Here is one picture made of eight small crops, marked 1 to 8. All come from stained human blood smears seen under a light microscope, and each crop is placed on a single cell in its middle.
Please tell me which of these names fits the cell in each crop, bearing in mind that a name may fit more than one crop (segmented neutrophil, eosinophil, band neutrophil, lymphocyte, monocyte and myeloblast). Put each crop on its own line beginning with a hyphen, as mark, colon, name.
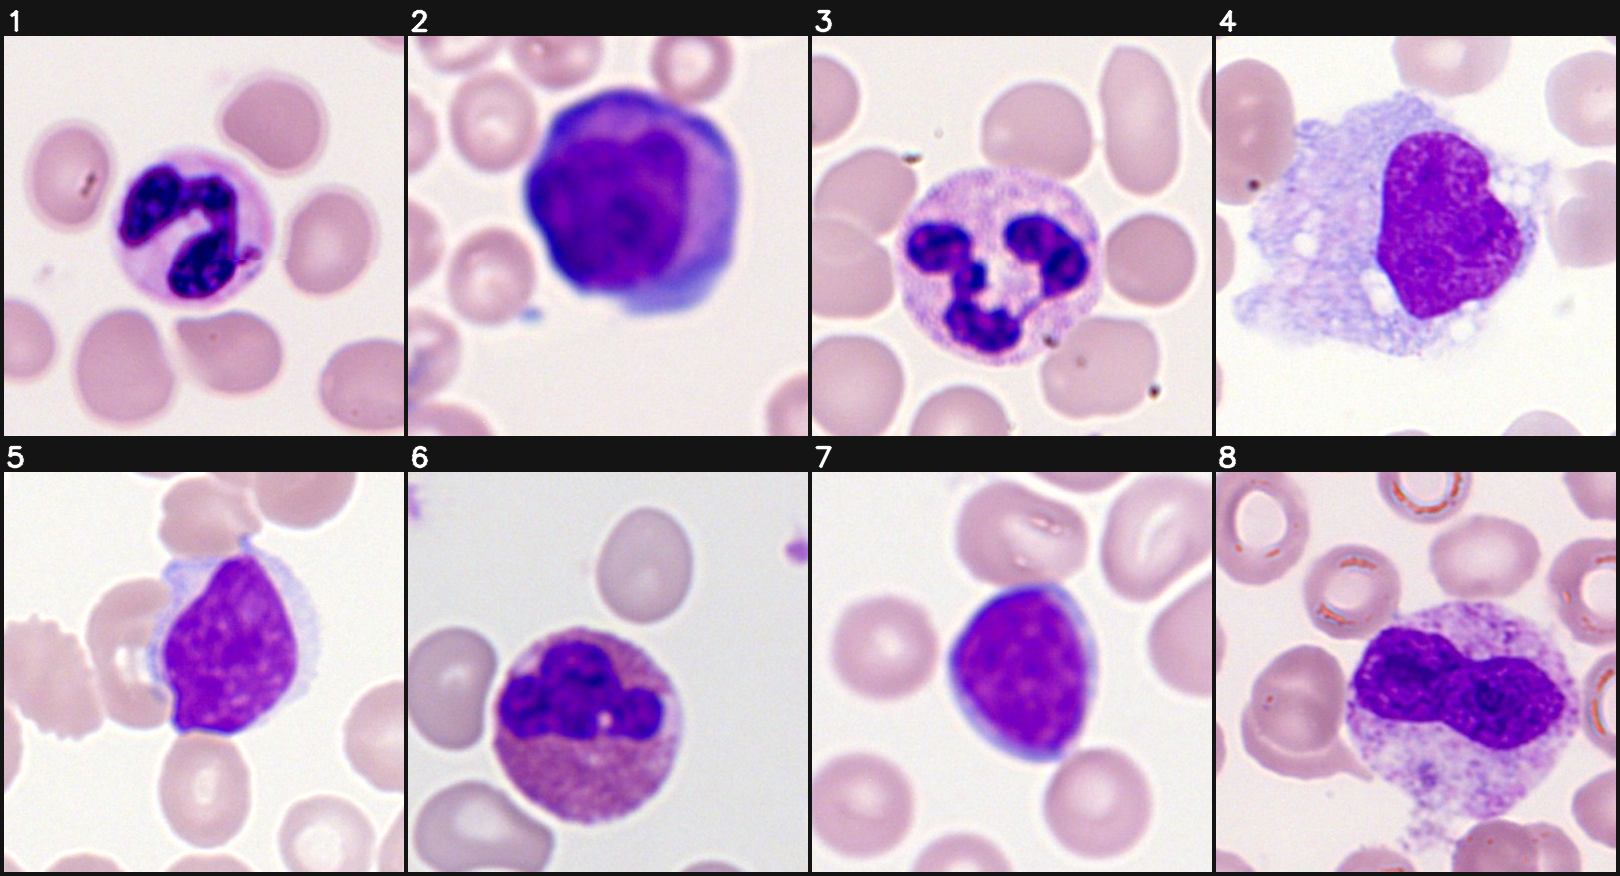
- 1: segmented neutrophil
- 2: myeloblast
- 3: segmented neutrophil
- 4: monocyte
- 5: lymphocyte
- 6: eosinophil
- 7: lymphocyte
- 8: band neutrophil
